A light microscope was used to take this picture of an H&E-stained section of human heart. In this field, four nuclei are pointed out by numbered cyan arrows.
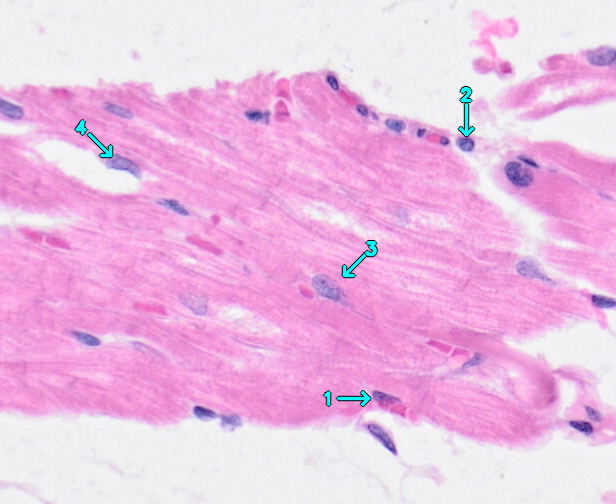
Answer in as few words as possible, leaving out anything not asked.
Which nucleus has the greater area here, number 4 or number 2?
4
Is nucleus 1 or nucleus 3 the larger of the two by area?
3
